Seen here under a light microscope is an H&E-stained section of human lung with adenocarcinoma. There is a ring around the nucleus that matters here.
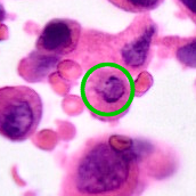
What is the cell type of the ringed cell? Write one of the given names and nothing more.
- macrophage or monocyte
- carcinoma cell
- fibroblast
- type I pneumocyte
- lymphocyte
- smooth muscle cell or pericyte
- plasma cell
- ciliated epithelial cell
macrophage or monocyte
